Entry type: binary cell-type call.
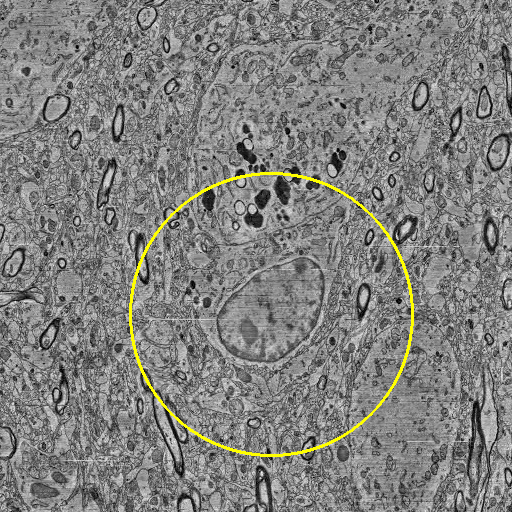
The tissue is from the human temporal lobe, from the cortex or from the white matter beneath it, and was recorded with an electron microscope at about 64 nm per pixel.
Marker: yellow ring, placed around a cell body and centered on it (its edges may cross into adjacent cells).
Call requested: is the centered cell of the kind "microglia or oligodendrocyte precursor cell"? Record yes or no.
yes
